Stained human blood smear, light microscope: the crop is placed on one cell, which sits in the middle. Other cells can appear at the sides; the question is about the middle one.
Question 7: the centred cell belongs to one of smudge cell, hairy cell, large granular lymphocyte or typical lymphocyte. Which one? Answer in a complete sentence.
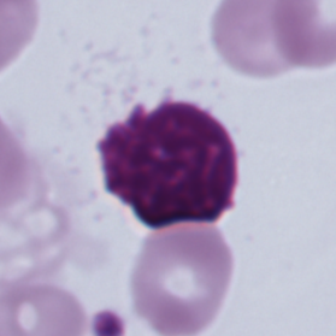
The cell found in the middle of this crop is a smudge cell.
